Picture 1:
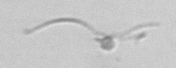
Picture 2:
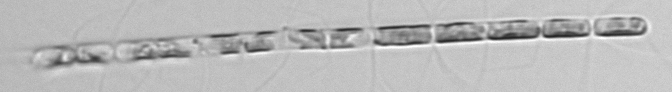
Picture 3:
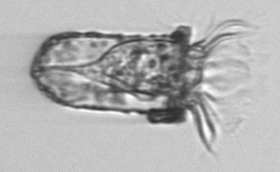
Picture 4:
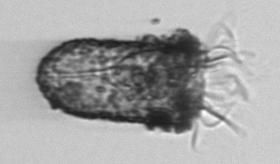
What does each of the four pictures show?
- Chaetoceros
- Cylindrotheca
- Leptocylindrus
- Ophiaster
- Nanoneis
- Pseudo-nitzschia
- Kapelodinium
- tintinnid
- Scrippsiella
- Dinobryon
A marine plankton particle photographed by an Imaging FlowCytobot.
1: Ophiaster
2: Chaetoceros
3: tintinnid
4: tintinnid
